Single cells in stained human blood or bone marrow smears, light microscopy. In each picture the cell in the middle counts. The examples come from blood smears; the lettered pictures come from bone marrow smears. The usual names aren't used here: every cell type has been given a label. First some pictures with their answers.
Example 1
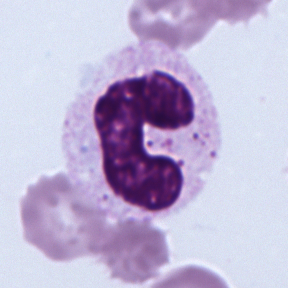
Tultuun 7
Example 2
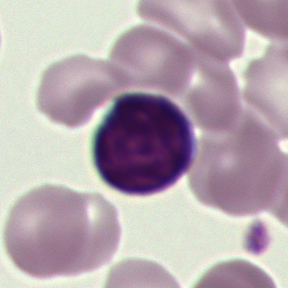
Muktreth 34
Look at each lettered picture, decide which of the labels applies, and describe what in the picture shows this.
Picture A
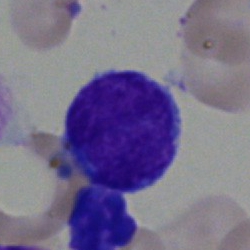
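Answer: Muktreth 34. Cytoplasm is scant, at most a barely visible rim.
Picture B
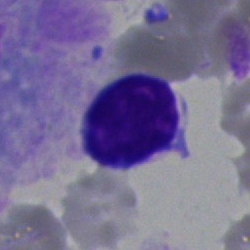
Answer: Muktreth 34. The cytoplasm is very scant, with the nucleus filling almost the whole cell.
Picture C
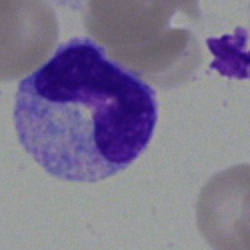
Answer: Tultuun 7. The cytoplasm is plentiful and pale lilac-grey.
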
